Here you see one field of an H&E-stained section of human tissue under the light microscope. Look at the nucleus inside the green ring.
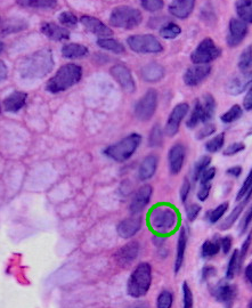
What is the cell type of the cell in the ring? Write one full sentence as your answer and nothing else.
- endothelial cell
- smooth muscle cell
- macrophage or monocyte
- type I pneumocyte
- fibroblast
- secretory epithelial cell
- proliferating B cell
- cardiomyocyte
Among the cells in this section, the cell in the ring is a secretory epithelial cell.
